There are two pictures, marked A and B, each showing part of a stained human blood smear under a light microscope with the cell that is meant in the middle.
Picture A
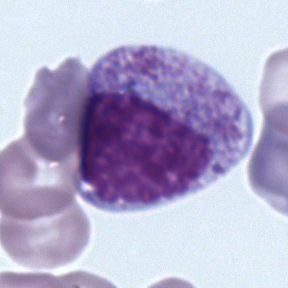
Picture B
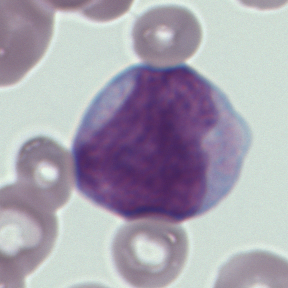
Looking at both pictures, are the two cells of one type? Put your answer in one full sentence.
No, picture A shows a myelocyte and picture B shows an atypical promyelocyte.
